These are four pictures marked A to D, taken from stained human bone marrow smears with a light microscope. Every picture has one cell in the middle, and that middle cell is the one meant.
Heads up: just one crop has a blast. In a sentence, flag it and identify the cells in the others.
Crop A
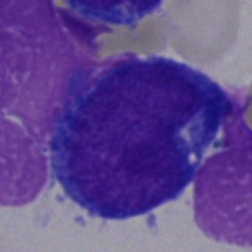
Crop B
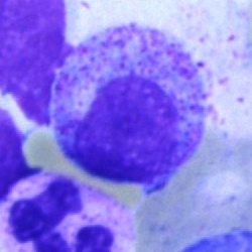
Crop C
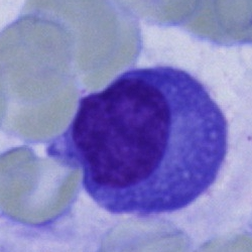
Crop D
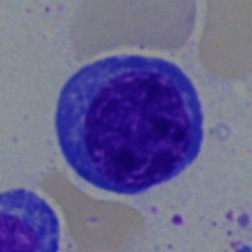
Centred in crop A is a blast, while crop B is a myelocyte, crop C is a plasma cell and crop D is an erythroblast.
